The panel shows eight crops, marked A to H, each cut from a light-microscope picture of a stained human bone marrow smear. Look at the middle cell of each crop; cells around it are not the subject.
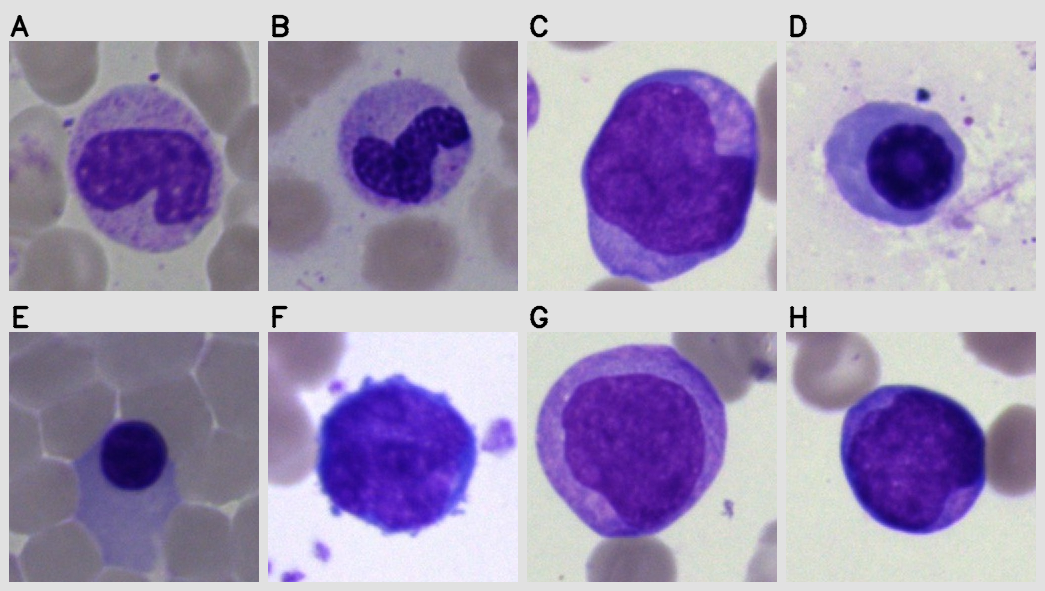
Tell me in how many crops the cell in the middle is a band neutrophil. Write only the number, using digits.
2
